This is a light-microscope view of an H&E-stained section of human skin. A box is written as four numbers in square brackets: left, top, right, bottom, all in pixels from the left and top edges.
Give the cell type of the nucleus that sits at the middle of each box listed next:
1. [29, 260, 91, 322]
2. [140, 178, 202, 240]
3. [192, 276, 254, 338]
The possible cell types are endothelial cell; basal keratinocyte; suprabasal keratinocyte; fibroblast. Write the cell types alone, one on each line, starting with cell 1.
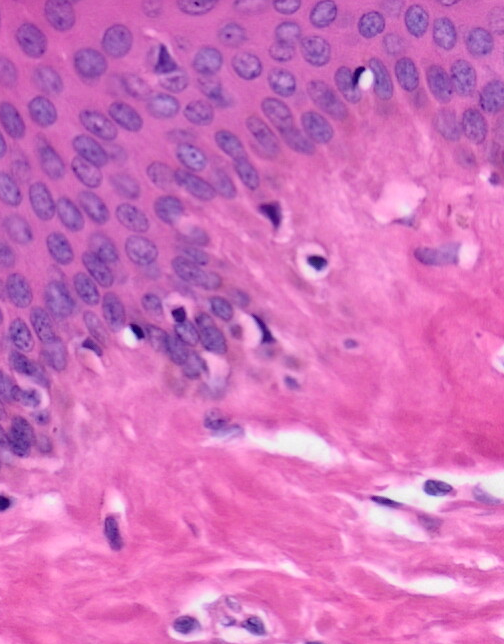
suprabasal keratinocyte
basal keratinocyte
basal keratinocyte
